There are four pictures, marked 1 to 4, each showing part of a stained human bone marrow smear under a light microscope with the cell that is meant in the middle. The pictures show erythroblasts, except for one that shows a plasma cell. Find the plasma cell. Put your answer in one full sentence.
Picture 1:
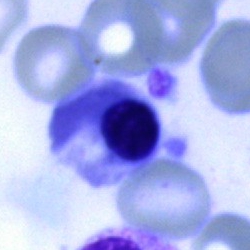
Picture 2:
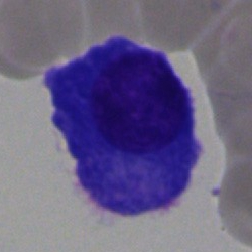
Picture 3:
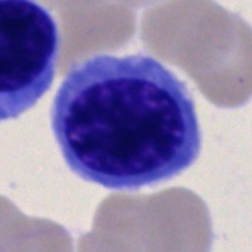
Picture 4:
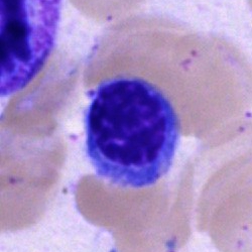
It is picture 2 that shows the plasma cell.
